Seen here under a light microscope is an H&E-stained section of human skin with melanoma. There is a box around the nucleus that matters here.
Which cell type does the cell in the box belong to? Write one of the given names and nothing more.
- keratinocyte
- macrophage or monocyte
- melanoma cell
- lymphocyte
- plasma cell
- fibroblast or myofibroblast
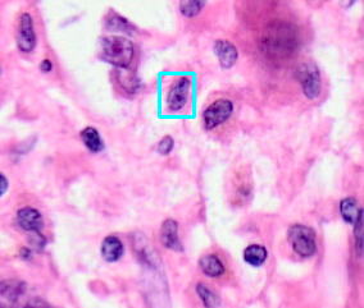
macrophage or monocyte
